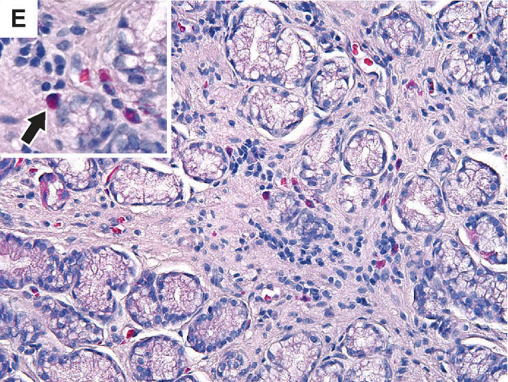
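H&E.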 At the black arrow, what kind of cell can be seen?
eosinophils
